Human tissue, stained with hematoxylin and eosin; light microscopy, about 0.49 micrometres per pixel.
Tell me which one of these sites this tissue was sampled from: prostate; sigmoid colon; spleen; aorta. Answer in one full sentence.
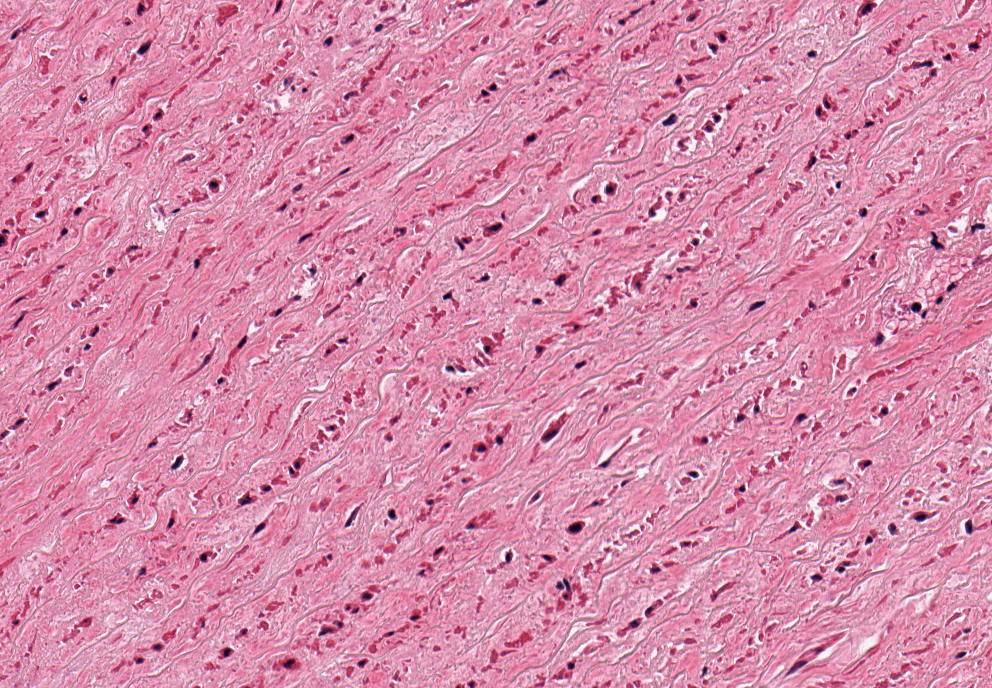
This tissue section originates from the aorta.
